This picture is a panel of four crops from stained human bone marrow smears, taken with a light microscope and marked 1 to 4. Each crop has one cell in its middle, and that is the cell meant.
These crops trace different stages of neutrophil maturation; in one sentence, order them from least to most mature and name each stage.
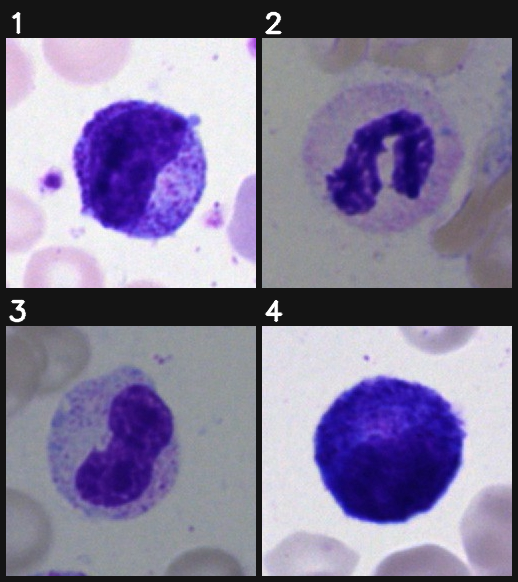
From the earliest stage to the most mature one, the order is crop 4 (a promyelocyte), crop 1 (a metamyelocyte), crop 3 (a band neutrophil) and crop 2 (a segmented neutrophil).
